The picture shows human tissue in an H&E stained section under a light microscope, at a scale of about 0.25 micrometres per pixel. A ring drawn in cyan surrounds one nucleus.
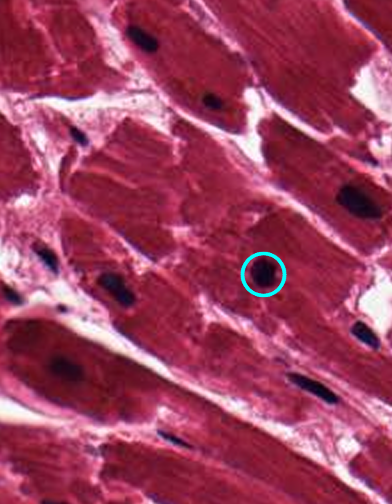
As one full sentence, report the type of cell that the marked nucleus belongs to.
The cell containing the marked nucleus is a cardiomyocyte.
